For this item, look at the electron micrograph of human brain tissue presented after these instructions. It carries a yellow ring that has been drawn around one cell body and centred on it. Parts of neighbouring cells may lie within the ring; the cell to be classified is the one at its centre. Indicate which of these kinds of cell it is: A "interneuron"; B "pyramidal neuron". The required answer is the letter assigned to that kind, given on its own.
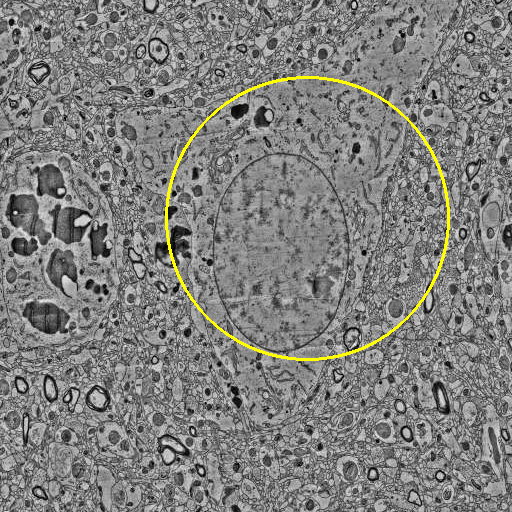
B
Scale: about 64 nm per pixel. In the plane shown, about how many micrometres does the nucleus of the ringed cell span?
The ringed cell's nucleus measures approximately 13 by 9 micrometres in this plane.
